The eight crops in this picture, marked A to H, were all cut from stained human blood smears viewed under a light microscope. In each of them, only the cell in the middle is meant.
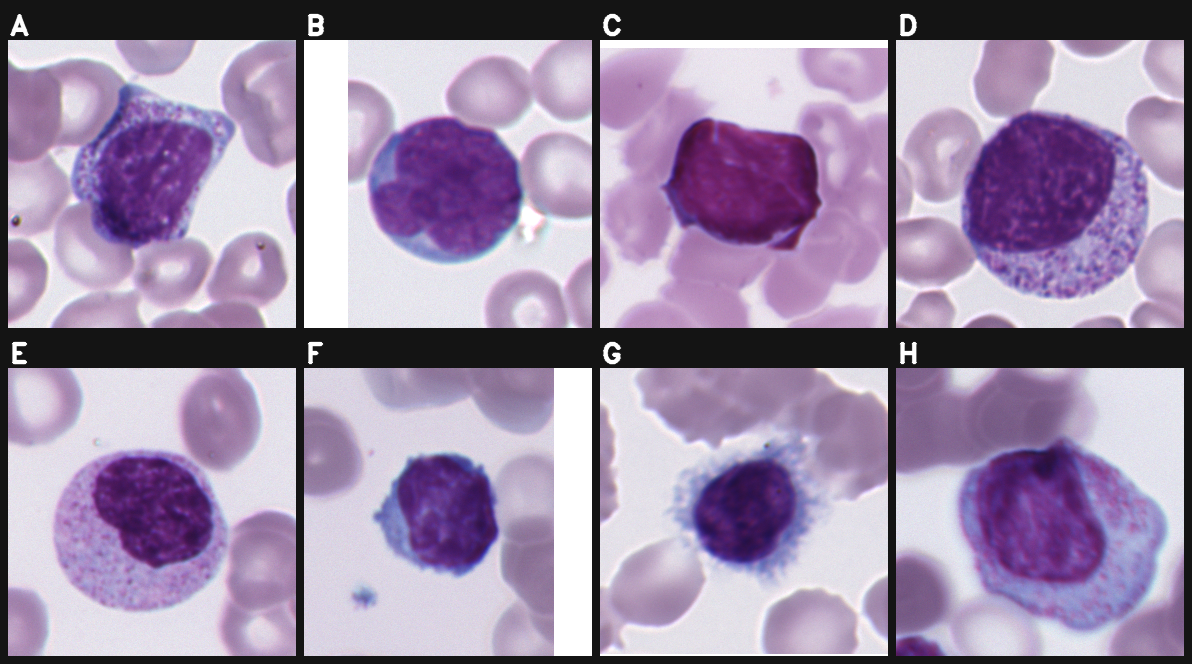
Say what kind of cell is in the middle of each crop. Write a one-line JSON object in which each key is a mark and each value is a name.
{"A": "myelocyte", "B": "blast", "C": "blast", "D": "myelocyte", "E": "metamyelocyte", "F": "typical lymphocyte", "G": "hairy cell", "H": "myelocyte"}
